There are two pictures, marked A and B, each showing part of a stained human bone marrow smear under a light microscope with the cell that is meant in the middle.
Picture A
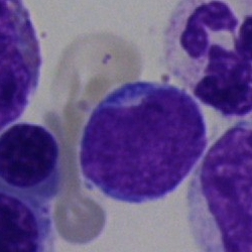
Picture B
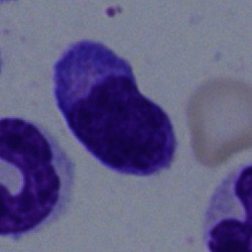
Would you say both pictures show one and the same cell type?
yes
